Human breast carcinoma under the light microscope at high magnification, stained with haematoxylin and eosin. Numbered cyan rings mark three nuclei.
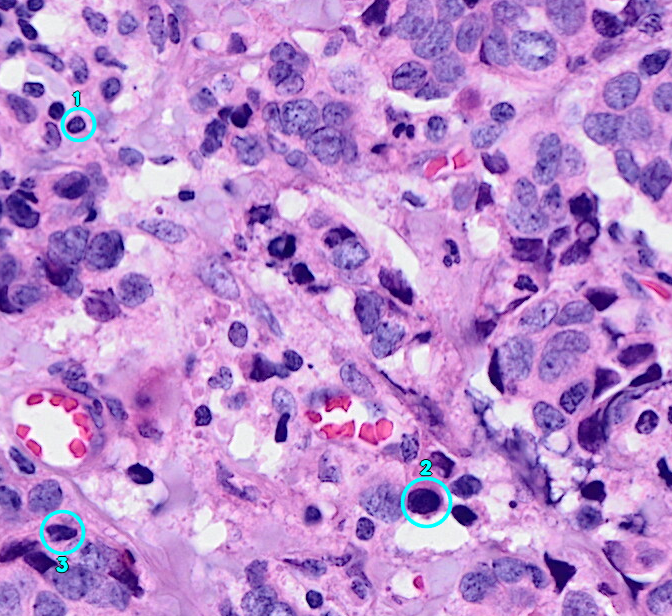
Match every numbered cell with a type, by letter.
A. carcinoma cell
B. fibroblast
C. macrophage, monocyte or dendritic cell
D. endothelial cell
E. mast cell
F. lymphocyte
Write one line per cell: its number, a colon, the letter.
1: F
2: A
3: A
